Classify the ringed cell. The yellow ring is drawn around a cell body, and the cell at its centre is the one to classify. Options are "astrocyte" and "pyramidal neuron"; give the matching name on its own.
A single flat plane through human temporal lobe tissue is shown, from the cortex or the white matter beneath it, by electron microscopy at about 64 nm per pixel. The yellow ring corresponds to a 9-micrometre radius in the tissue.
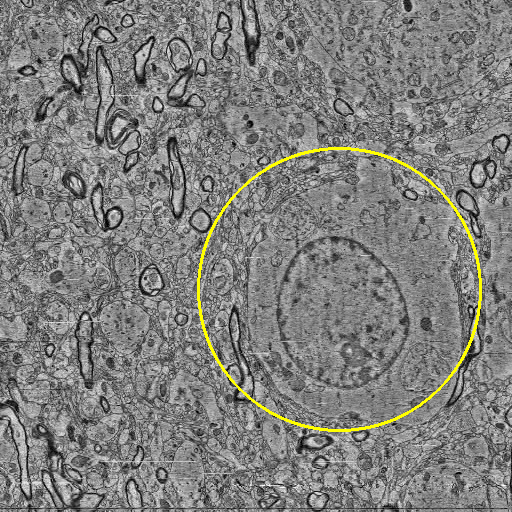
astrocyte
